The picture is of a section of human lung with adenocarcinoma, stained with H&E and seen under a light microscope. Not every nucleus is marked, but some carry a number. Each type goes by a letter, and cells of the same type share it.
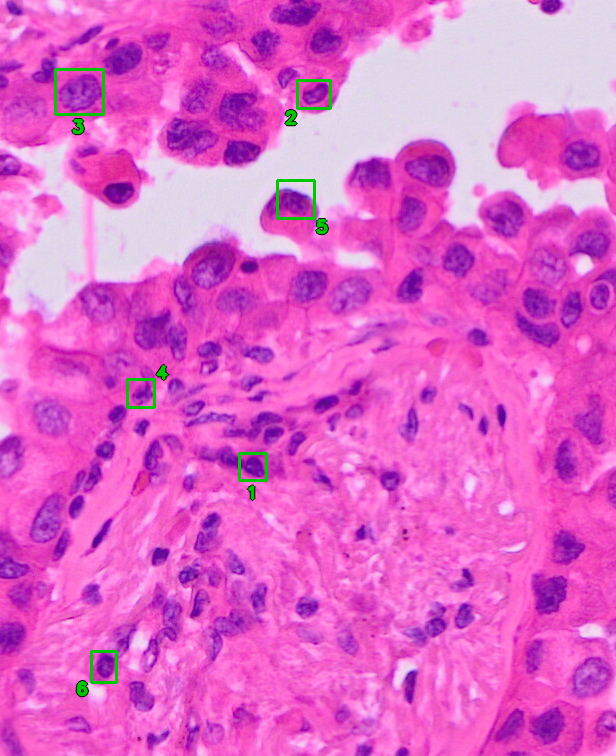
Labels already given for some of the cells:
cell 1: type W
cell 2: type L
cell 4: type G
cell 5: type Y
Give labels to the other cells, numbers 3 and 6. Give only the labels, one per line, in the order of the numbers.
type Y
type W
